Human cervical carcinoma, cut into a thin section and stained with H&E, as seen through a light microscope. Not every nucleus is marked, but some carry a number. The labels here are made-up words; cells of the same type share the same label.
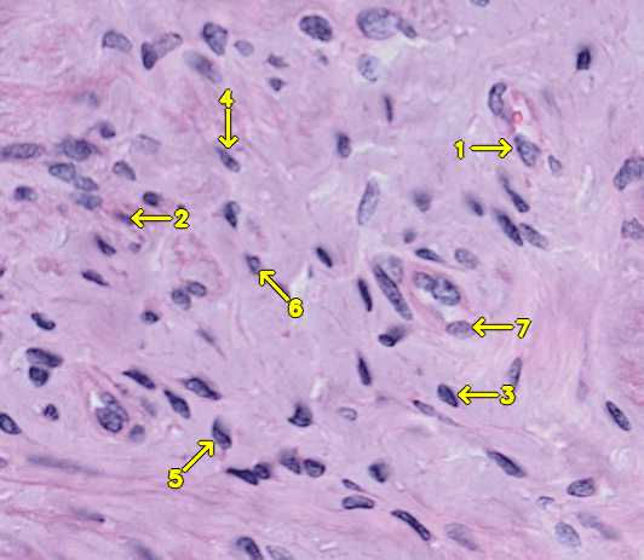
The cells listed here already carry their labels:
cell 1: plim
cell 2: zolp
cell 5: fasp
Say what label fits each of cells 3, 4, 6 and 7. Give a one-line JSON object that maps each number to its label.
{"3": "fasp", "4": "fasp", "6": "zolp", "7": "plim"}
